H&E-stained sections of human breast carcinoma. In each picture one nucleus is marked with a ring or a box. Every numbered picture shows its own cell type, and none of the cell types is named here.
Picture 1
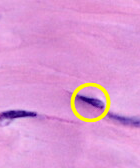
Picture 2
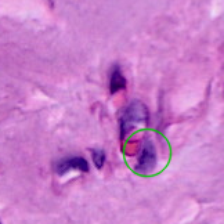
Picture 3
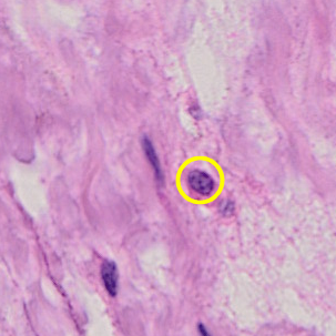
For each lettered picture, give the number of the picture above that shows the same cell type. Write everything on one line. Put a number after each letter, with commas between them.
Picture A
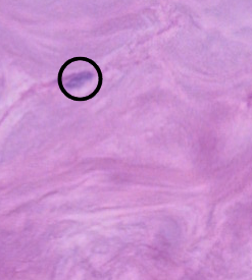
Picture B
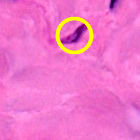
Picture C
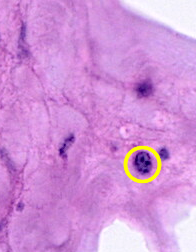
A 1, B 1, C 3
